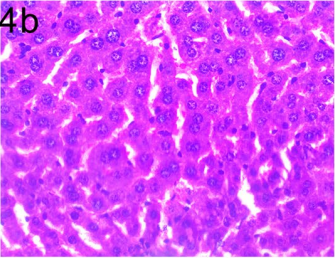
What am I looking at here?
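This is liver, with polygonal hepatocytes arranged in cords separated by narrow white sinusoidal spaces. The hepatocytes have pink granular cytoplasm and round central nuclei with visible nucleoli.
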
